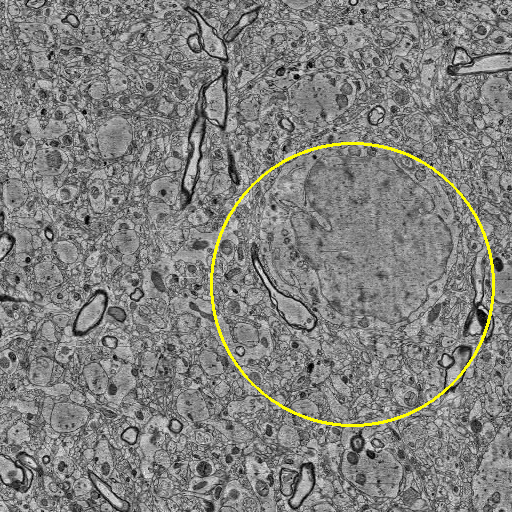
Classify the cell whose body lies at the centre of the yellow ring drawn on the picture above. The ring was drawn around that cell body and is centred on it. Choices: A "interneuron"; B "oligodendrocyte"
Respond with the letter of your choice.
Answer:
A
